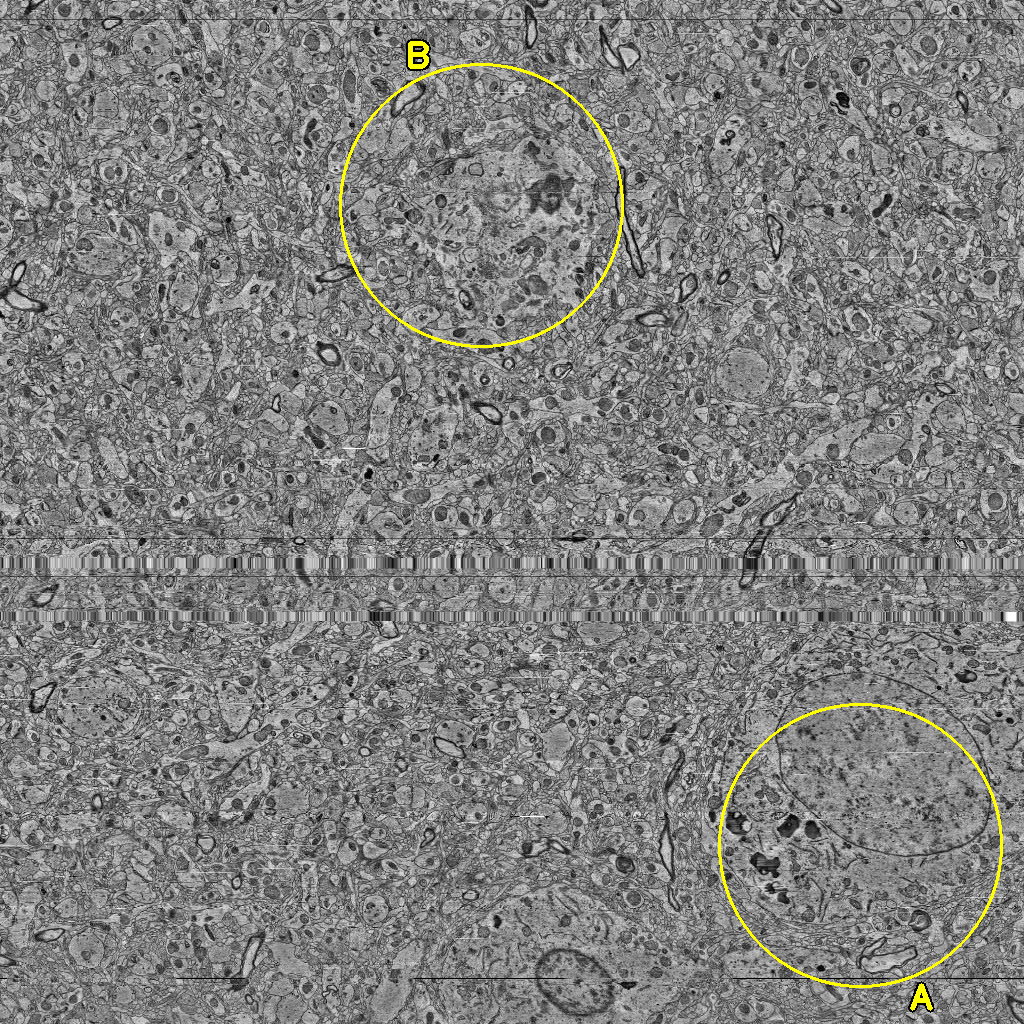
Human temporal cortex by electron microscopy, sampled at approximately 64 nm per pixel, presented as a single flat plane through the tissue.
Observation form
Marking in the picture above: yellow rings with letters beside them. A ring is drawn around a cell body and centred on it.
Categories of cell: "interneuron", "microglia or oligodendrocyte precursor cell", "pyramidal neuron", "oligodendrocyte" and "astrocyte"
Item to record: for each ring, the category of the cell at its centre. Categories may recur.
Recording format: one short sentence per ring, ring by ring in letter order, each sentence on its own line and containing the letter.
Ring A is placed on a pyramidal neuron.
Ring B is placed on a microglial cell or oligodendrocyte precursor cell.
